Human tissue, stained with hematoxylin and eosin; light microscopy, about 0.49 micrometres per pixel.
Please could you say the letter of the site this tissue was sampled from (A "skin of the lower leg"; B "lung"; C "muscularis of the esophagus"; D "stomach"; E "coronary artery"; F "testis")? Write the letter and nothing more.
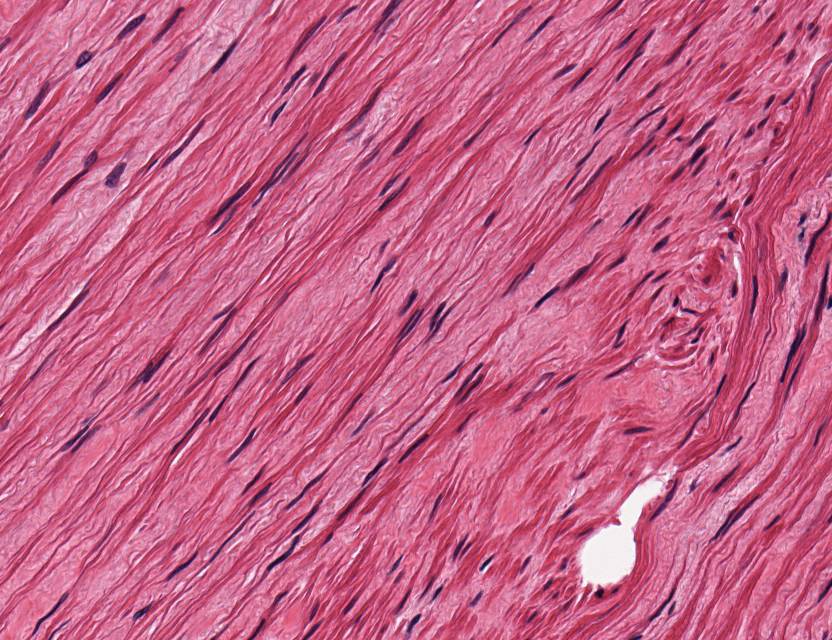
E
